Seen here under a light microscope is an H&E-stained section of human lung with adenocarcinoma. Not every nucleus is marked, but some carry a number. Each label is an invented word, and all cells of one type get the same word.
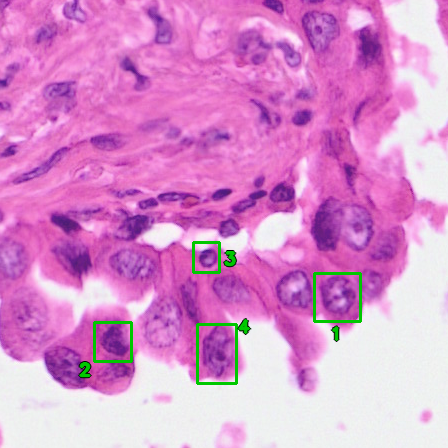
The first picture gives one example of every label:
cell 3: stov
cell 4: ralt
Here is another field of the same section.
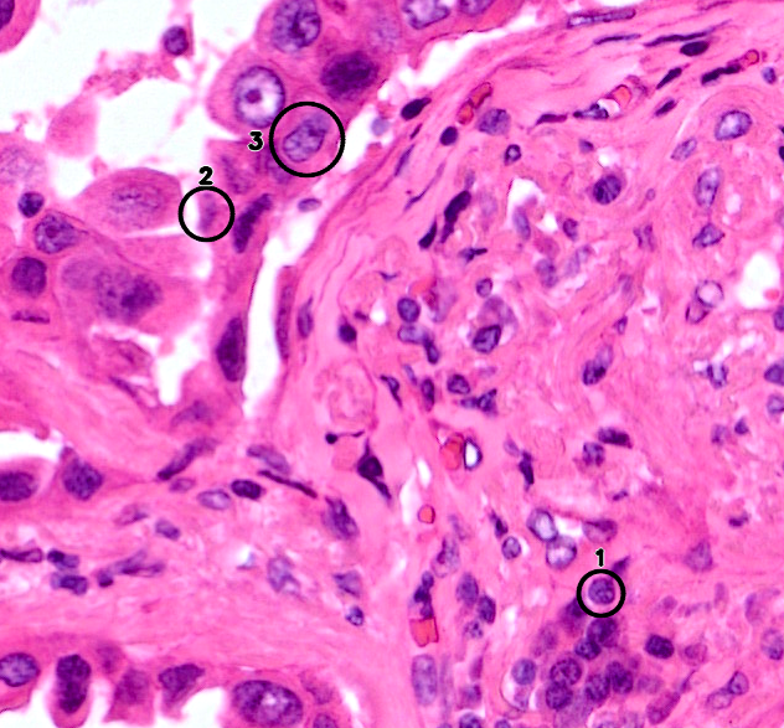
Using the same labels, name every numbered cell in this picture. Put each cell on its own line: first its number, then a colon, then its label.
1: stov
2: ralt
3: ralt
